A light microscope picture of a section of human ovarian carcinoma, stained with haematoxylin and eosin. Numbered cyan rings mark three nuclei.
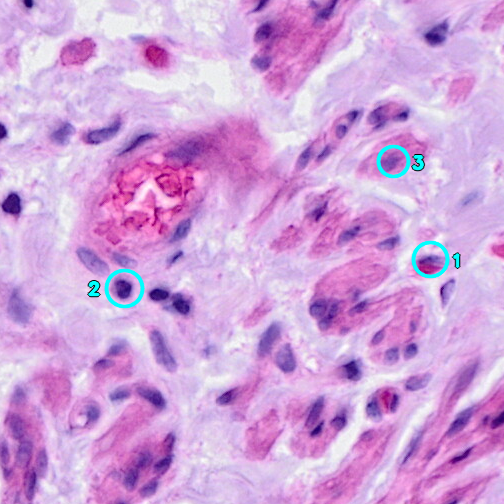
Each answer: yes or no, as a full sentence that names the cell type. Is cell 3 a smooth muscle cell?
Yes, that one, number 3, is a smooth muscle cell.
